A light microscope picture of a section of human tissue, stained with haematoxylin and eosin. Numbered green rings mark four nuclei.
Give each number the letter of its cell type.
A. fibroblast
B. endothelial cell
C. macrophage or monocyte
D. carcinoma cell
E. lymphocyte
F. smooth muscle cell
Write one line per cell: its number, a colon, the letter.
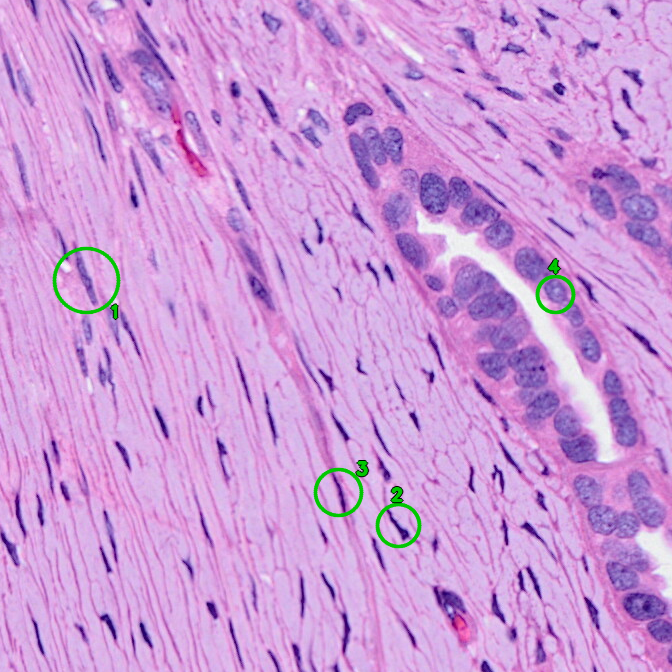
1: A
2: A
3: A
4: D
